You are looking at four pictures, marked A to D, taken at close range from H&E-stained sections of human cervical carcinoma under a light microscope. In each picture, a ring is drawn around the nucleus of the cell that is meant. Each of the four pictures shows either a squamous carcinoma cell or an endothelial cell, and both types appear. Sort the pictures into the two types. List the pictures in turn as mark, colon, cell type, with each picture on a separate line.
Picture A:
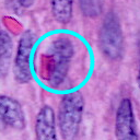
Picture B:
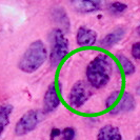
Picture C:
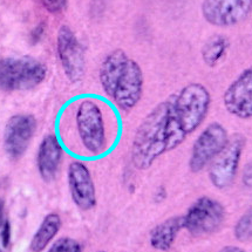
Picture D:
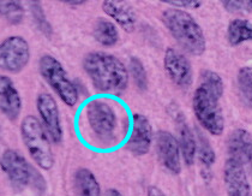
A: endothelial cell
B: squamous carcinoma cell
C: squamous carcinoma cell
D: squamous carcinoma cell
